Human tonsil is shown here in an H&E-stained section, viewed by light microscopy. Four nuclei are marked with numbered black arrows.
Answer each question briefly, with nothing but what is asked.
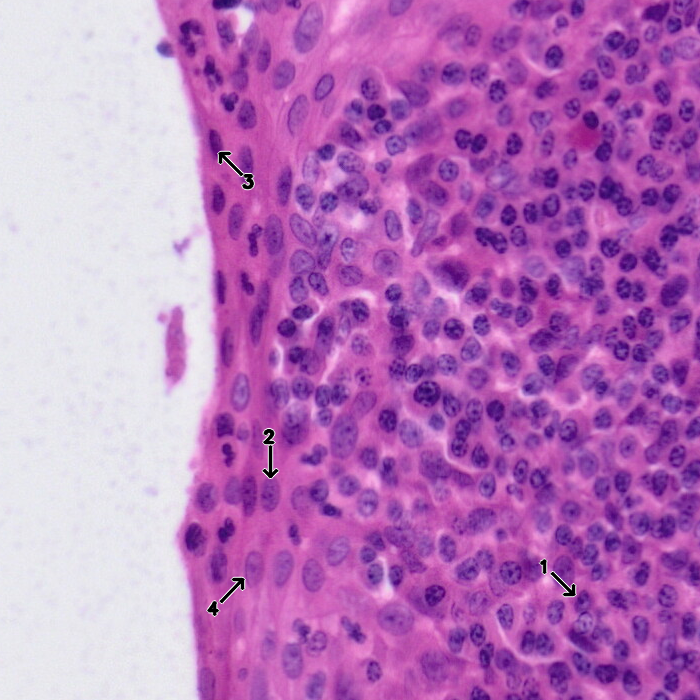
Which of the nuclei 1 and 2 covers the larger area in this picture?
2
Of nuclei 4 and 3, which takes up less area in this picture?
3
